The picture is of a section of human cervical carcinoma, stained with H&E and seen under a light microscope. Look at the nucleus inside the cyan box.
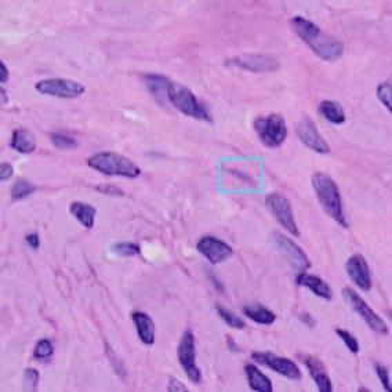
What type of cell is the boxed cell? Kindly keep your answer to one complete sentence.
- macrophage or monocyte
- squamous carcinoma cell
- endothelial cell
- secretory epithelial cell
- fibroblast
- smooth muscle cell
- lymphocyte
The identity of the boxed cell is that of a fibroblast.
